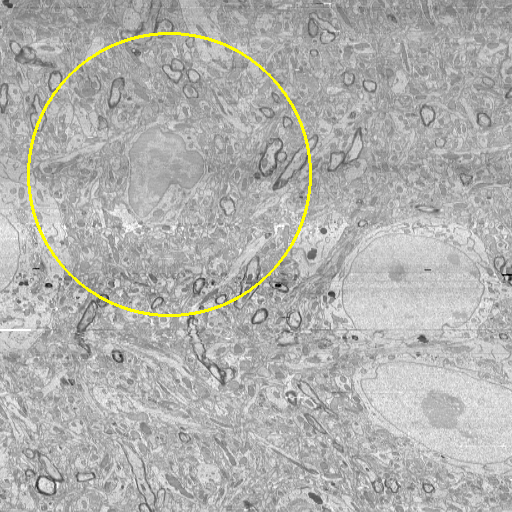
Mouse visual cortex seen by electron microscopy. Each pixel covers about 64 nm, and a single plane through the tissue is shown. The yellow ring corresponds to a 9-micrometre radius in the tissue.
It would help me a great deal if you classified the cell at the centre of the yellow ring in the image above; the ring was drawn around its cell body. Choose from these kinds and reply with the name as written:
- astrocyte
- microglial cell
microglial cell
